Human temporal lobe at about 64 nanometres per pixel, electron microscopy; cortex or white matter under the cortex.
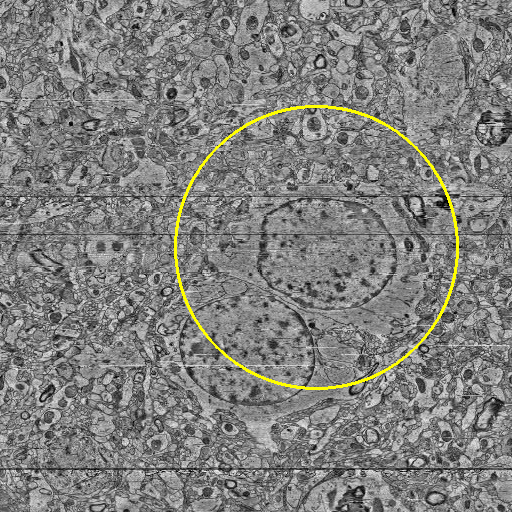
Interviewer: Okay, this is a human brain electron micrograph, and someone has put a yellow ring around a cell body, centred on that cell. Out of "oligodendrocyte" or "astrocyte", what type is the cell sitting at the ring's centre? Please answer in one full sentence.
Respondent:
The cell at the centre of the yellow ring in this picture is an astrocyte.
